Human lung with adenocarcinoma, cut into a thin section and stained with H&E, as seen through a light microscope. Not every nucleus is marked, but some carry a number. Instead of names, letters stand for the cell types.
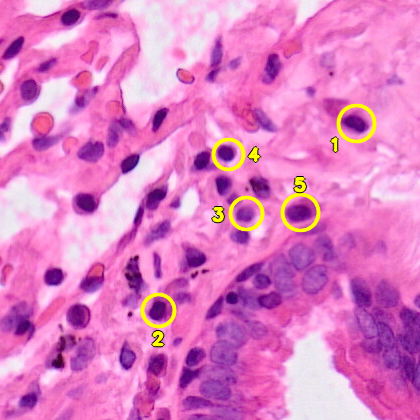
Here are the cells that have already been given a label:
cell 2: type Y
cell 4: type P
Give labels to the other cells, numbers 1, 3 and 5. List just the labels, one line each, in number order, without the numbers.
type Y
type P
type Y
